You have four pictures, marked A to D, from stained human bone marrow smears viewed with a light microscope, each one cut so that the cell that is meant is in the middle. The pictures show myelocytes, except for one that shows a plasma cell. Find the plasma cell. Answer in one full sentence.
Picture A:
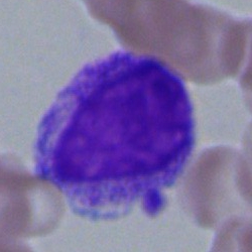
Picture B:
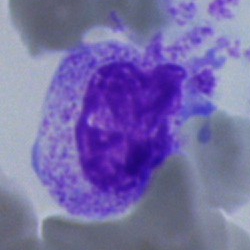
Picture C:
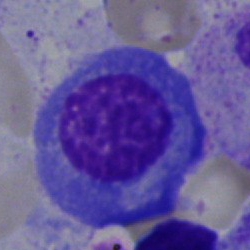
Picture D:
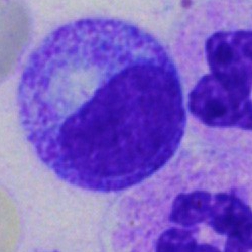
Picture C shows the plasma cell.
